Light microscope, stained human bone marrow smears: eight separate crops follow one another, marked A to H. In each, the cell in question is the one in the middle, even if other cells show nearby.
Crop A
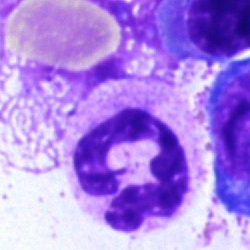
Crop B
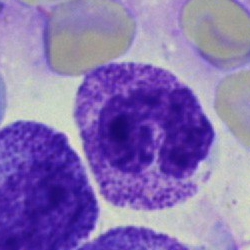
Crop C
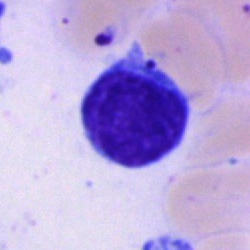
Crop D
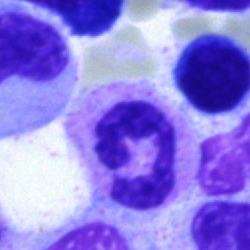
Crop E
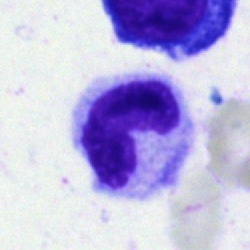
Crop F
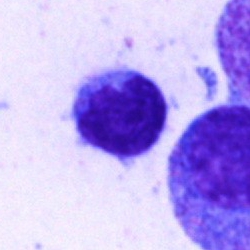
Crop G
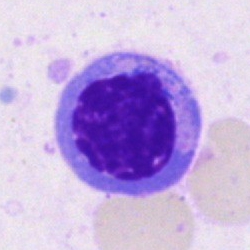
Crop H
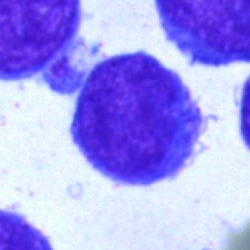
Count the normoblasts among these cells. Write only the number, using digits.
1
